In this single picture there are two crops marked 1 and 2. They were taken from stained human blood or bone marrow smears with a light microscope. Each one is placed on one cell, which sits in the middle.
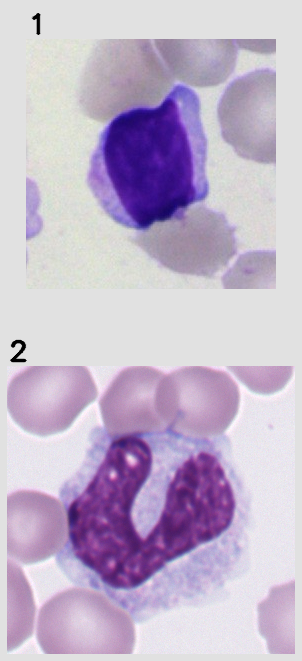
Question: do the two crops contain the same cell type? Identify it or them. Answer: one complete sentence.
No, in fact crop 1 shows a lymphocyte, and crop 2 shows a monocyte.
